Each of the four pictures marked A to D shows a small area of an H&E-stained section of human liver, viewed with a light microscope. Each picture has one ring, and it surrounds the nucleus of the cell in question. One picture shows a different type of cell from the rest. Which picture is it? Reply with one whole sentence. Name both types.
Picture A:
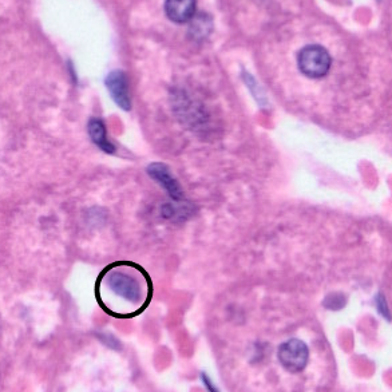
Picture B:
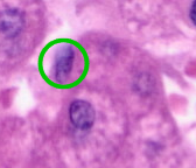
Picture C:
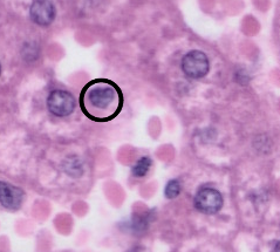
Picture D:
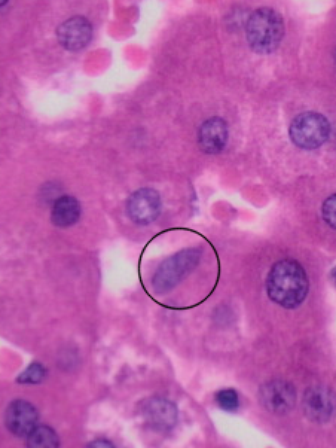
The different one is picture C; it shows a “fibroblast or stellate cell”, whereas all the others show Kupffer cells.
